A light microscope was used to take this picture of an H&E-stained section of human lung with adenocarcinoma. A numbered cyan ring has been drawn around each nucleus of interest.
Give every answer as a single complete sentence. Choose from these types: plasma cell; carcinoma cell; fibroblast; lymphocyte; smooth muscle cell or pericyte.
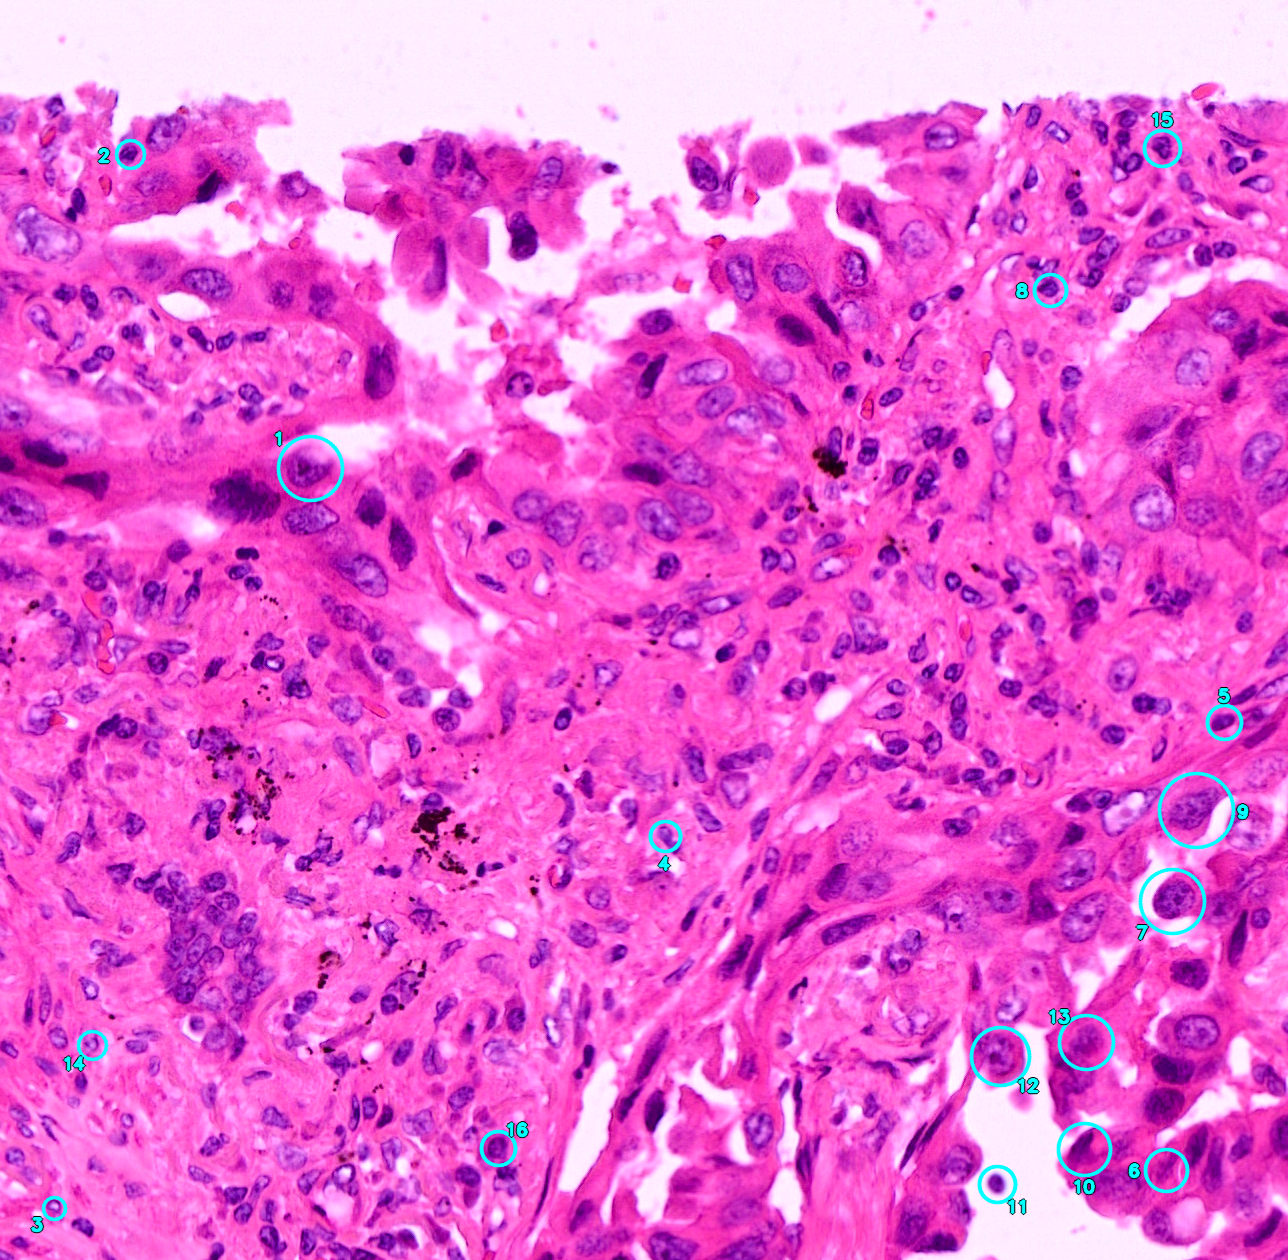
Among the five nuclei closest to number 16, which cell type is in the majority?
Plasma cells make up most of the five nuclei closest to number 16.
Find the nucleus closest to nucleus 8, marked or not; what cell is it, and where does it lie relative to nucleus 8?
Just above nucleus 8 lies the nearest nucleus, which belongs to a fibroblast.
